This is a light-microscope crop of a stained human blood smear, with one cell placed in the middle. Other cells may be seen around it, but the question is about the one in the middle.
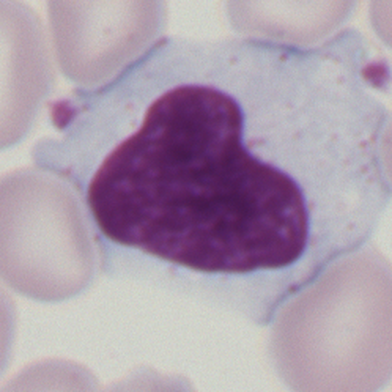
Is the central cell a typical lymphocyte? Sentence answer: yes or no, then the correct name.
No, this is not a typical lymphocyte at all; the cell in the middle is a large granular lymphocyte.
